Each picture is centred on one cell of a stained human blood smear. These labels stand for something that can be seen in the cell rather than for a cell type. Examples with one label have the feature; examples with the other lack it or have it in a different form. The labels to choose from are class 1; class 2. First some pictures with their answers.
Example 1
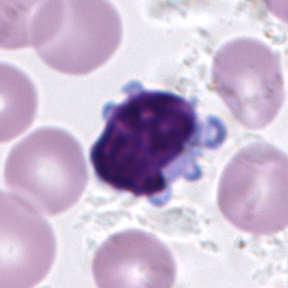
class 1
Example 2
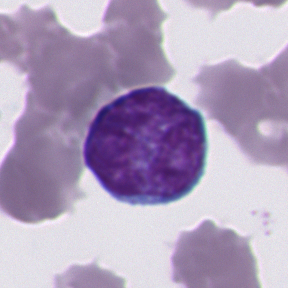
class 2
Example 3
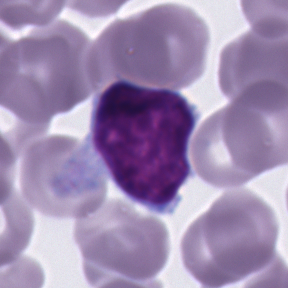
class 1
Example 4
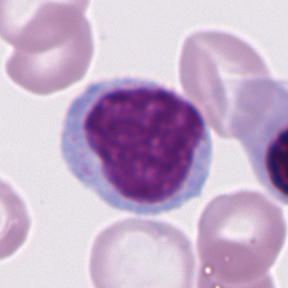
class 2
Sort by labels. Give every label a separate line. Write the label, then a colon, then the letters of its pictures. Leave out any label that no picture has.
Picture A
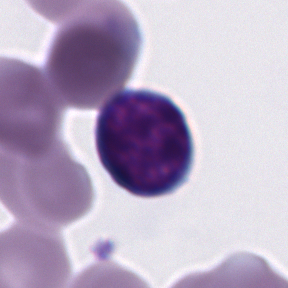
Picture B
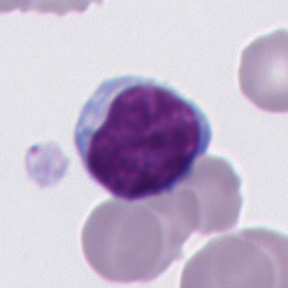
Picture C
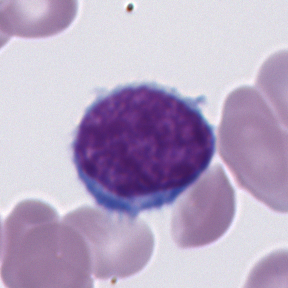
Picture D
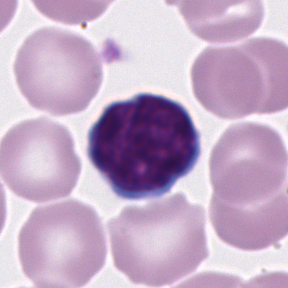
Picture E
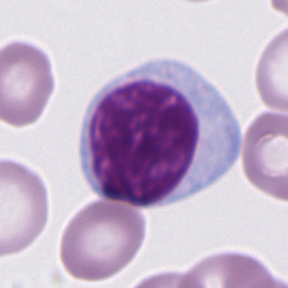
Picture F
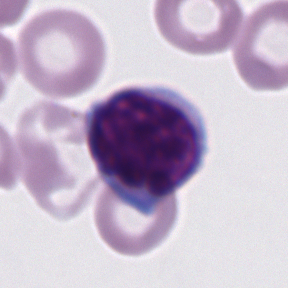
class 1: C
class 2: A, B, D, E, F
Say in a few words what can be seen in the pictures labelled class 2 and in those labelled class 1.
In class 2: smooth outline. In class 1: ragged outline or projections.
